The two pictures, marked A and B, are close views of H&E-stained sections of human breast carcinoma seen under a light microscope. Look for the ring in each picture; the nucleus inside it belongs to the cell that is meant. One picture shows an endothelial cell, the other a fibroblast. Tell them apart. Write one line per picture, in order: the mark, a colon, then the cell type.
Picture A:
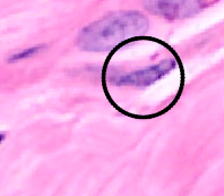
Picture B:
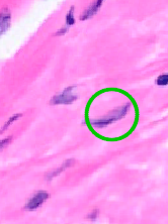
A: endothelial cell
B: fibroblast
